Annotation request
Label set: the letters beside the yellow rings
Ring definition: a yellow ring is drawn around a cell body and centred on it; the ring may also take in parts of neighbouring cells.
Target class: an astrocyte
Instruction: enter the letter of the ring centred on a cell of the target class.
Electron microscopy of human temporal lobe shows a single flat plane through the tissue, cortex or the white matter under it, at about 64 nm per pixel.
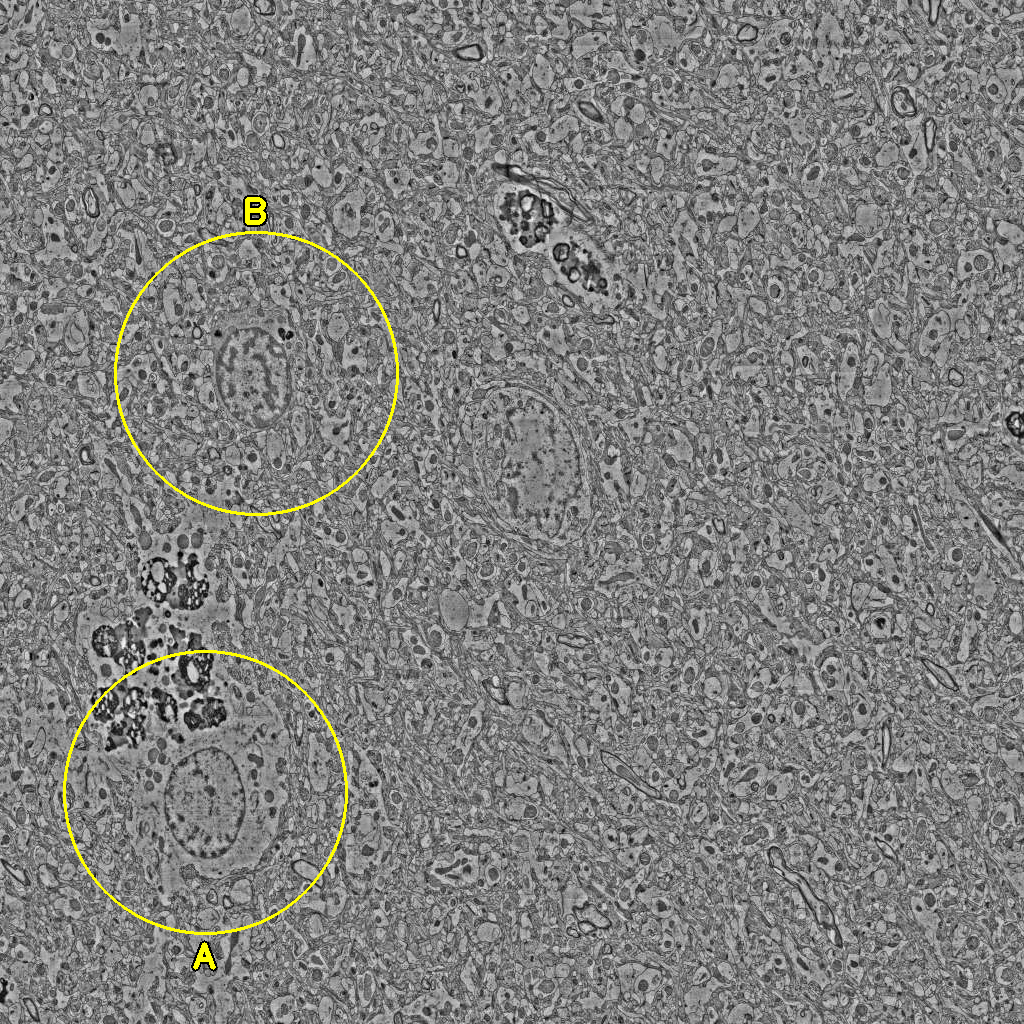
A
